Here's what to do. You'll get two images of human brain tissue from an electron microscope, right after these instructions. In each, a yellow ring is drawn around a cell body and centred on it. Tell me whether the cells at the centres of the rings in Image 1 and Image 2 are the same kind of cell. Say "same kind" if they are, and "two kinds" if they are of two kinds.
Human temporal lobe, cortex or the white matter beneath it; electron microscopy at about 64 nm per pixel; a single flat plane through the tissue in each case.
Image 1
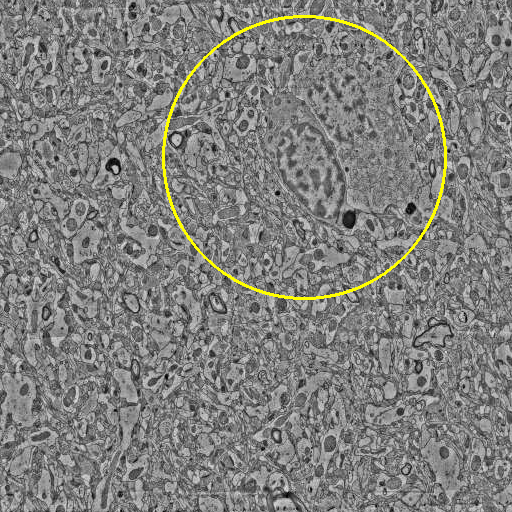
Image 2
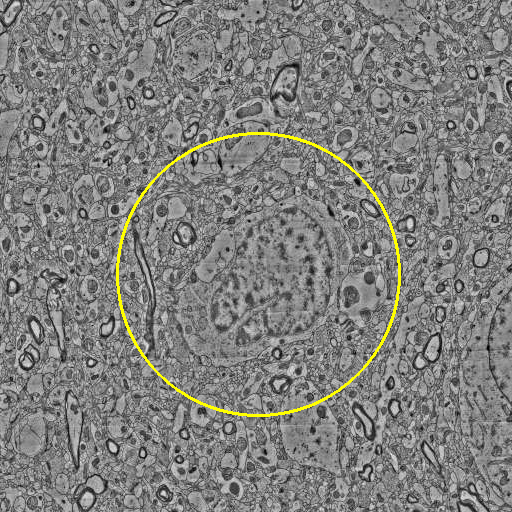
two kinds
